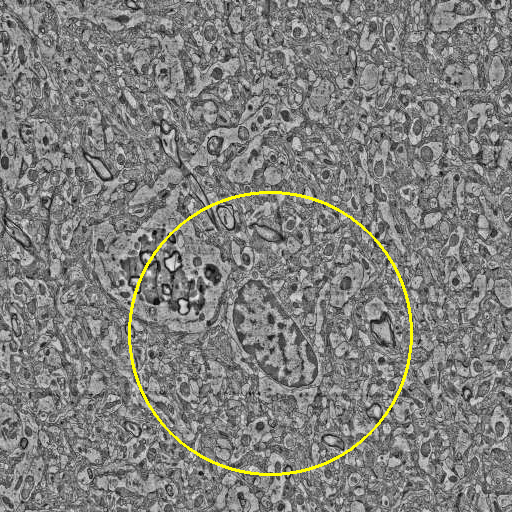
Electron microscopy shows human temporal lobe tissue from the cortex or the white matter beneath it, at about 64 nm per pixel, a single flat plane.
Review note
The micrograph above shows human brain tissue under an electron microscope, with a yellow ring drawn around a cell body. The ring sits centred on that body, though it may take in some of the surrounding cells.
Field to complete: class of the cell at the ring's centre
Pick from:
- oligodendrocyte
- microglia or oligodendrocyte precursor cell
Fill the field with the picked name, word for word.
microglia or oligodendrocyte precursor cell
